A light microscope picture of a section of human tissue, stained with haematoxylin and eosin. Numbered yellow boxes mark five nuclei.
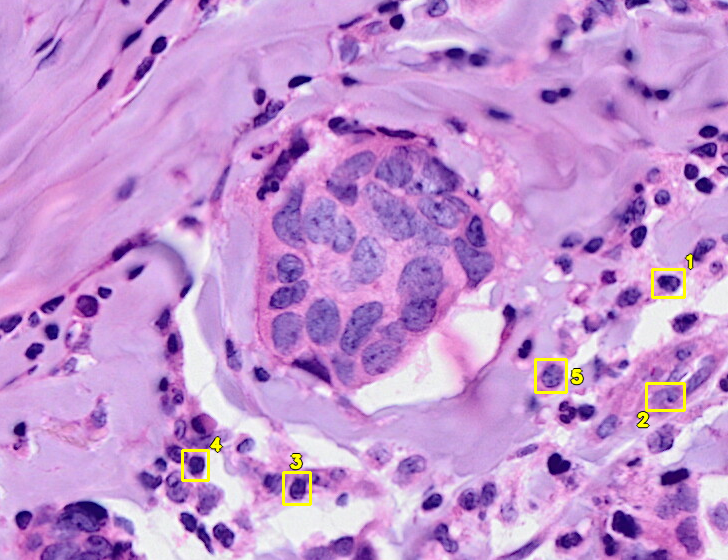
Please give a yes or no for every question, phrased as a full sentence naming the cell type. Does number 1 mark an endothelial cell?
No, cell 1 should be read as a lymphocyte instead of an endothelial cell.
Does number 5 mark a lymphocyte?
No, the cell indicated by 5 is a mast cell instead of a lymphocyte.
